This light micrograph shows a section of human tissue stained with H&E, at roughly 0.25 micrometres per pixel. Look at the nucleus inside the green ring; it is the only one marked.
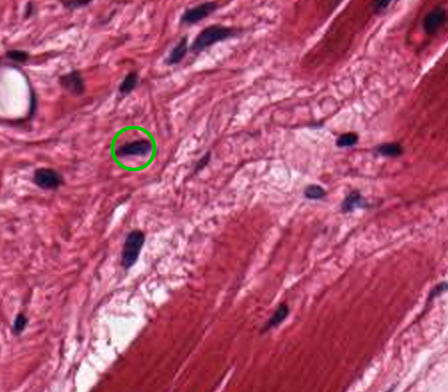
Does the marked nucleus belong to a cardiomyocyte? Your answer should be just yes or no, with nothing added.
no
